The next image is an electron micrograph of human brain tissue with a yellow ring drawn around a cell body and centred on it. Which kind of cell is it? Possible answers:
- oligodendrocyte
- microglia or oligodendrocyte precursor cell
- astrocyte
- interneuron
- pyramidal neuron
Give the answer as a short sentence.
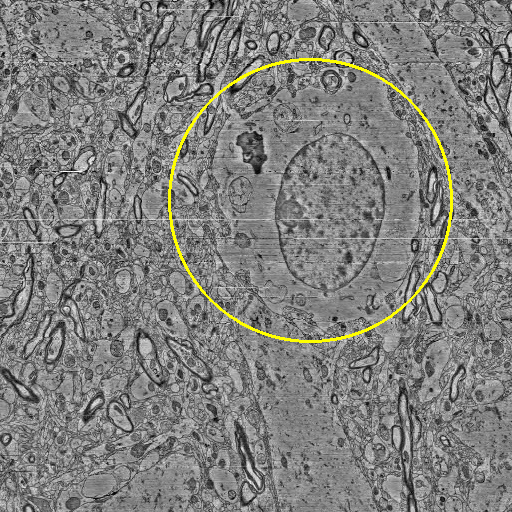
In the ring's centre is an astrocyte.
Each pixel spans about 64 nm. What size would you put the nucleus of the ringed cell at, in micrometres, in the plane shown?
Roughly 10 by 7 micrometres; in this plane, clearly longer than it is wide.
